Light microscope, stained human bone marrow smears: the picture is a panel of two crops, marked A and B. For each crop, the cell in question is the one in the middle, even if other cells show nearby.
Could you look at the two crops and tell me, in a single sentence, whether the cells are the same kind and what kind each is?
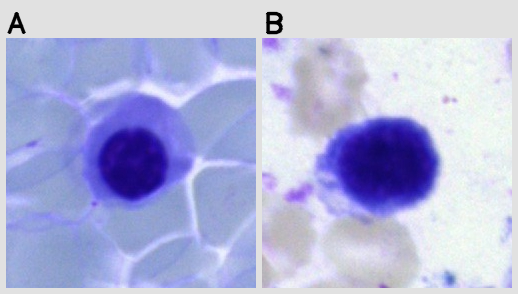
No, just to correct that: crop A shows a normoblast, crop B shows a lymphocyte.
